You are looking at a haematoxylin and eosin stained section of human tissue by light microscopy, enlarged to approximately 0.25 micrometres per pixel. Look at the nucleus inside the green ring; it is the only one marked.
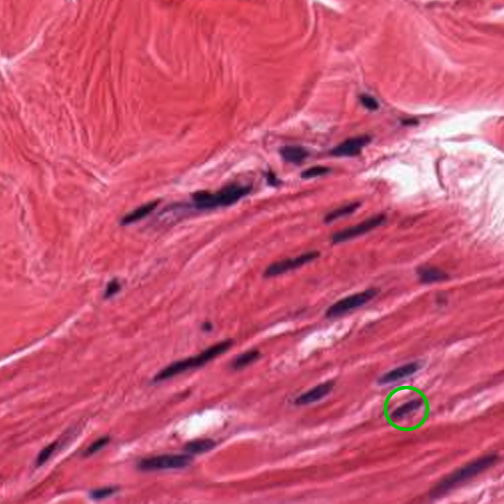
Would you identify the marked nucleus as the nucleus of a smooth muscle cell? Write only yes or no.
yes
